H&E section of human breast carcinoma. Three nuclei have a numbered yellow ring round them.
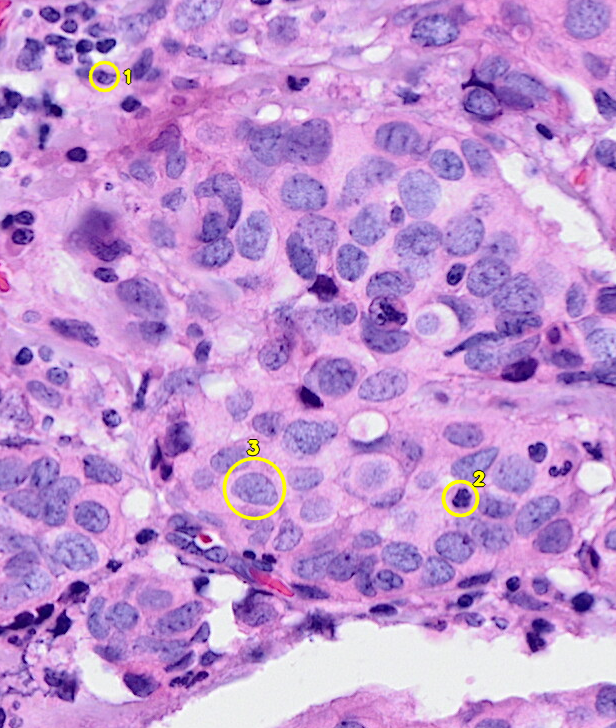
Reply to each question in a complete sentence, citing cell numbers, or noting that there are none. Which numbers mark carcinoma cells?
Among the numbered cells, cell 3 alone is a carcinoma cell.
